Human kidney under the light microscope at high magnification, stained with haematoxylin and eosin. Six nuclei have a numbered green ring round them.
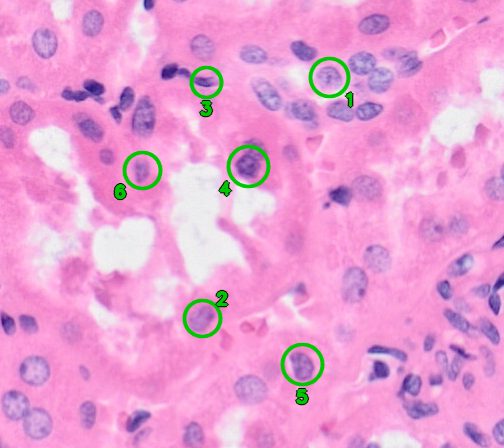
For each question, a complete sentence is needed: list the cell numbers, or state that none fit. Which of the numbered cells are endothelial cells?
Of all the numbered cells, only one is an endothelial cell, and that is cell 3.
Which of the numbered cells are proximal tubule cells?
The cells that bear the numbers 2, 4, 5 and 6 are proximal tubule cells.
